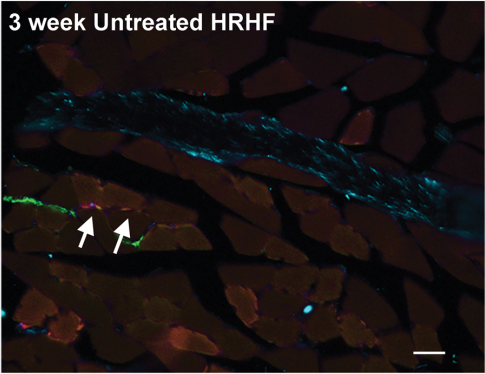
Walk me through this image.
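This is a cross-section of skeletal muscle with myofibers cut transversely. The fibres vary in staining intensity, some appearing brighter red or orange than others. A broad band of tissue with streaky cyan signal crosses the upper part of the field between groups of fibres. Scattered small cyan dots are seen between fibres.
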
